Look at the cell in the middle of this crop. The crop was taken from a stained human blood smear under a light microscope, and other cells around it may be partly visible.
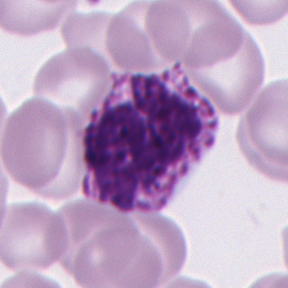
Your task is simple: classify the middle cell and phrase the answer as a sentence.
The crop's centre is taken up by a basophil.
